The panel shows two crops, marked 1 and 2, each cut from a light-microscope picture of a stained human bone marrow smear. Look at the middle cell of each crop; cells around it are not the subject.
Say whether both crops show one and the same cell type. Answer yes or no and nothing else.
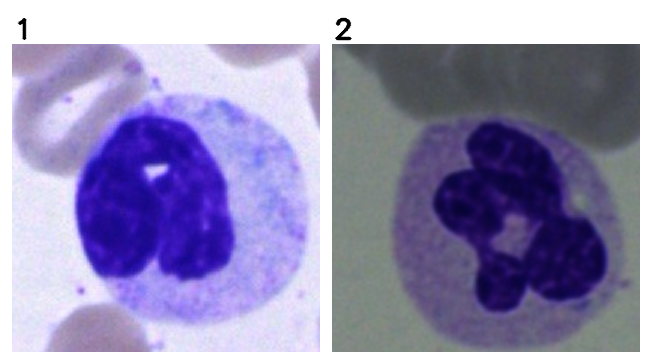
yes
